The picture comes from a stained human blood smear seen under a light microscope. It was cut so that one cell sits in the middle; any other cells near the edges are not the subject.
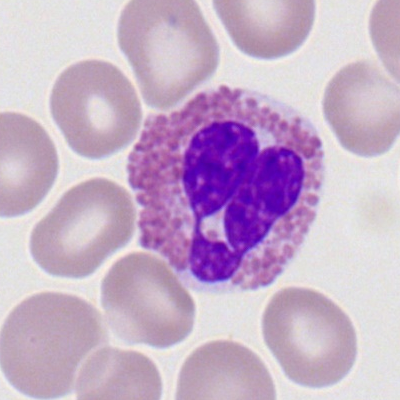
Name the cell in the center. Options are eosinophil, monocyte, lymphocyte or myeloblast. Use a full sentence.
Here the centrally located cell is an eosinophil.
